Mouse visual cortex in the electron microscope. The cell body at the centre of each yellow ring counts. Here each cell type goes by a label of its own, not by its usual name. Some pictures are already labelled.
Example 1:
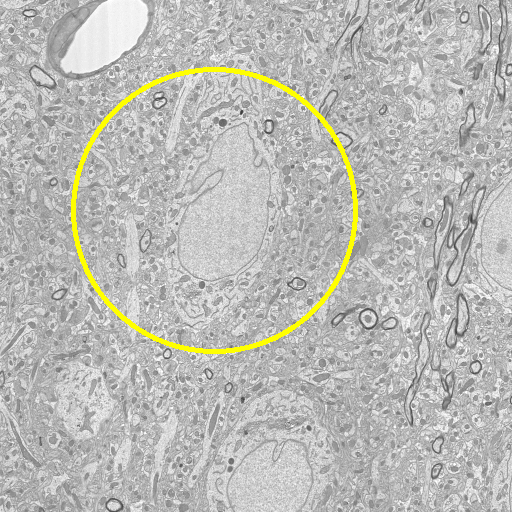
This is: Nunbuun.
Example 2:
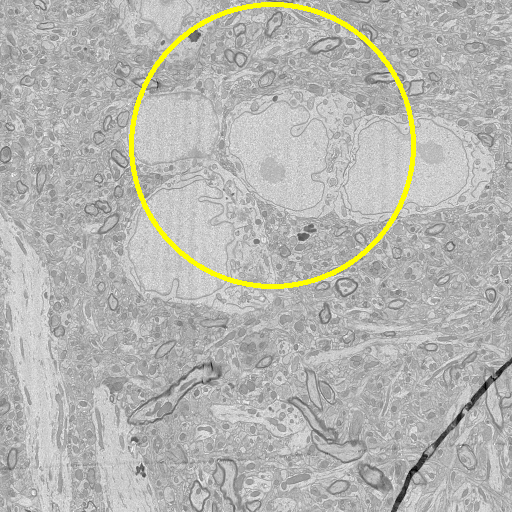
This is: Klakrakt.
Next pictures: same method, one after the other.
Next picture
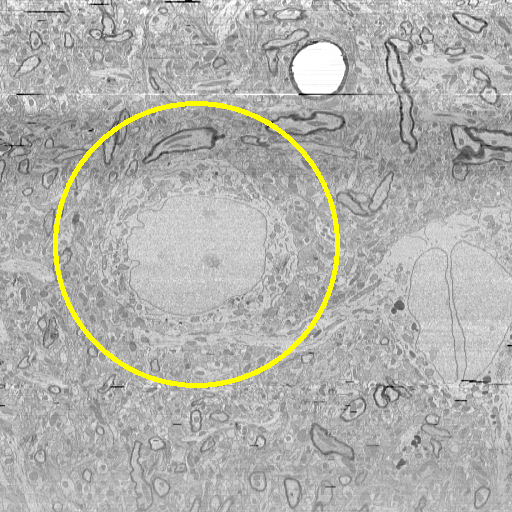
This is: Nunbuun.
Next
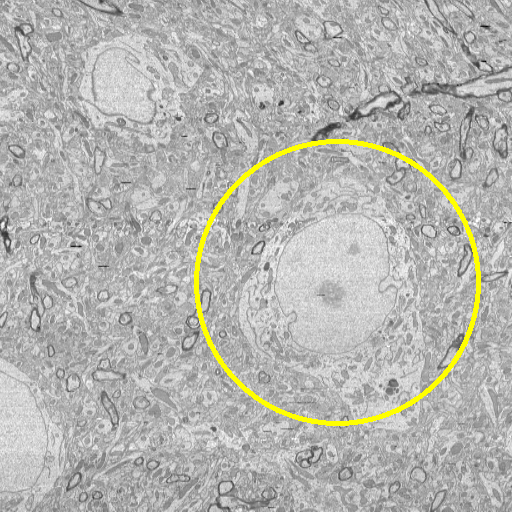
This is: Nunbuun.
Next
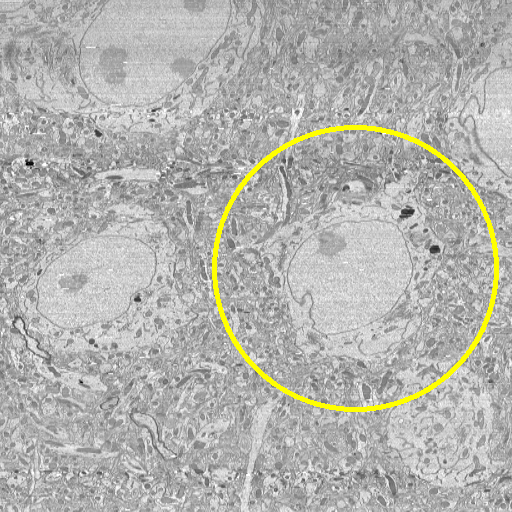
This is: Klakrakt.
